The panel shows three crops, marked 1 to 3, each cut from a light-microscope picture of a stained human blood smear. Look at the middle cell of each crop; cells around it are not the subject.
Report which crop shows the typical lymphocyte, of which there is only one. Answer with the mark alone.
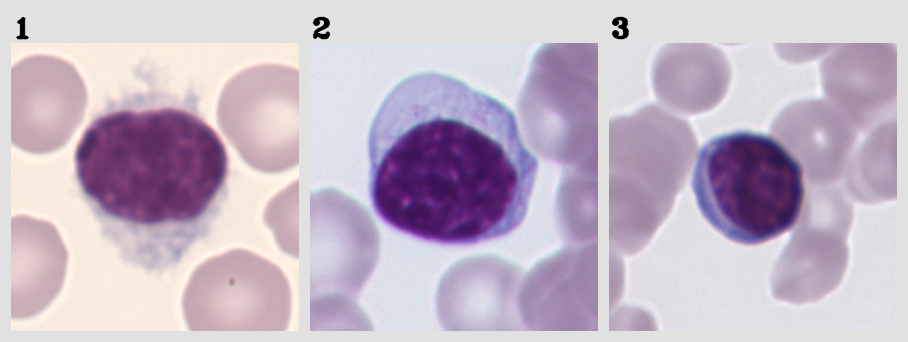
3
